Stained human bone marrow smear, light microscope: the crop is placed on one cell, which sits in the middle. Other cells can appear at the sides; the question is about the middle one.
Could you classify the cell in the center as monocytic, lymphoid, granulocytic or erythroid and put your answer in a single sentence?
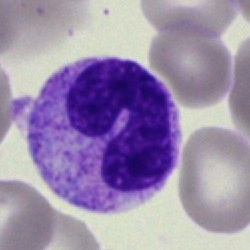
The middle cell is placed in the granulocytic lineage.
